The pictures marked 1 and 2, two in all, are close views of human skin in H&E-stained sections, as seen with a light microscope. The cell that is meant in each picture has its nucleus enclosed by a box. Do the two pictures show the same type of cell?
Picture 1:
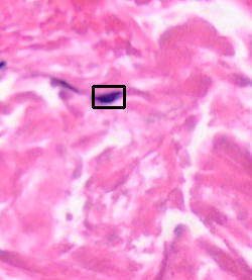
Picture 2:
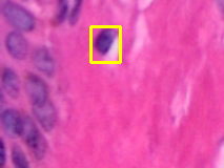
yes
